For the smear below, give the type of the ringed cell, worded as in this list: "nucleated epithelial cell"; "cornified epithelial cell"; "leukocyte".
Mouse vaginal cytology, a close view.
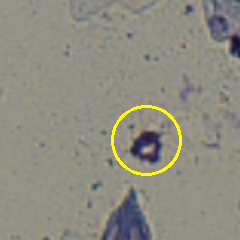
leukocyte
